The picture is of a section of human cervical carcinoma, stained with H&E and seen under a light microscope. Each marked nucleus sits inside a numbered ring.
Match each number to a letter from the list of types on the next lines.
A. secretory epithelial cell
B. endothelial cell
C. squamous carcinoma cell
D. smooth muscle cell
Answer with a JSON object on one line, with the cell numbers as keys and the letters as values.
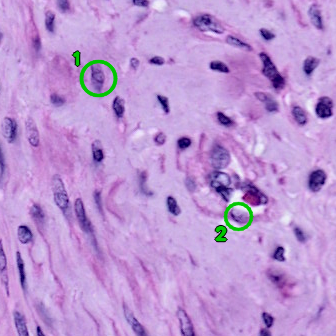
{"1": "D", "2": "B"}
